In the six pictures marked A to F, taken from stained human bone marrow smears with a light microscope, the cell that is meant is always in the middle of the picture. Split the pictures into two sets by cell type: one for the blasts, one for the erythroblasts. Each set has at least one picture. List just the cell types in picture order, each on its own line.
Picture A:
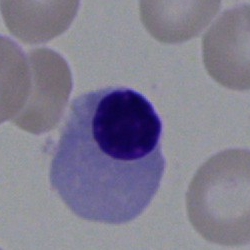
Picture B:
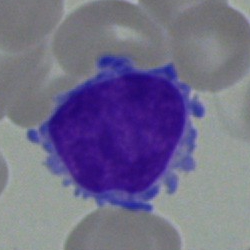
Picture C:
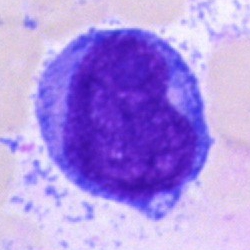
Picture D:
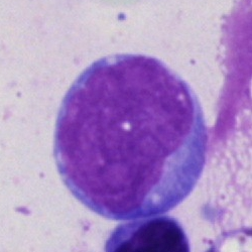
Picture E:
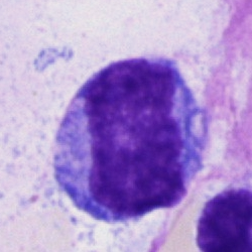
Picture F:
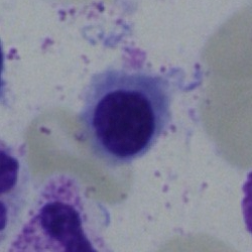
erythroblast
blast
blast
blast
blast
erythroblast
